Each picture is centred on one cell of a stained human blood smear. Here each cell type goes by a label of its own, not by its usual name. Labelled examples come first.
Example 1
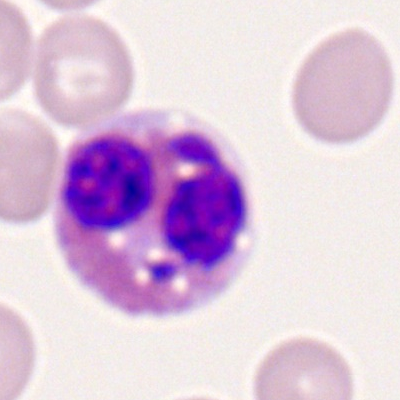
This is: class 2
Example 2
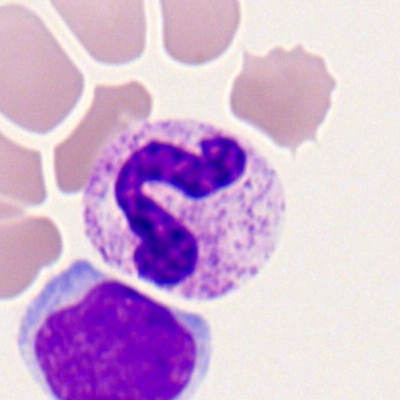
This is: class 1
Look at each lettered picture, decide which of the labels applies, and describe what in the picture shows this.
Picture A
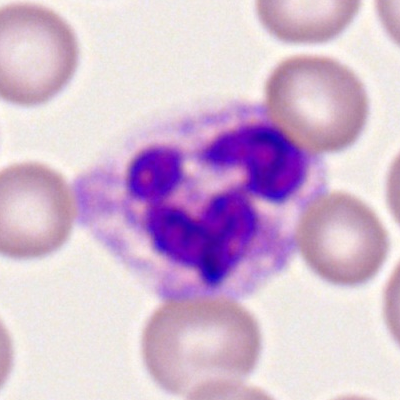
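class 1. Evidence: Fine lilac granules are scattered through the cytoplasm.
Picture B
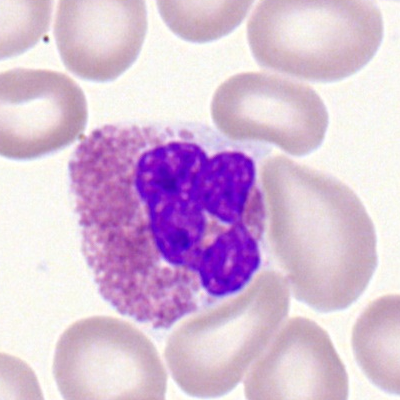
class 2. Evidence: The granules are coarse and of fairly even size.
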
